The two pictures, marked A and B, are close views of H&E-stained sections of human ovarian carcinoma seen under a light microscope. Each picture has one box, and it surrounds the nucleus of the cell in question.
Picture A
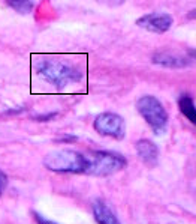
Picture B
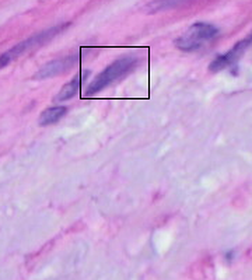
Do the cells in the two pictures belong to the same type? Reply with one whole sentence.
No. Picture A shows a fibroblast, but picture B shows a smooth muscle cell.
